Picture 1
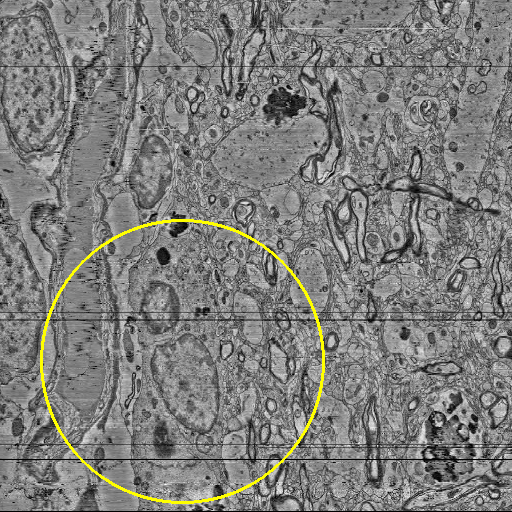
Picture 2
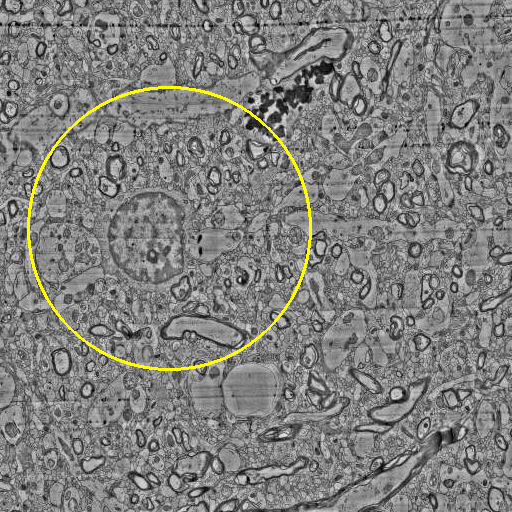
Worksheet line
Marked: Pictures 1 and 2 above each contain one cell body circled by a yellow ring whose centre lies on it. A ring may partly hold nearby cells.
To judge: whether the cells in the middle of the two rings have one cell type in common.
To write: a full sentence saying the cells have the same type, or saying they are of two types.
The cells in the middle of the rings in Picture 1 and Picture 2 have the same type.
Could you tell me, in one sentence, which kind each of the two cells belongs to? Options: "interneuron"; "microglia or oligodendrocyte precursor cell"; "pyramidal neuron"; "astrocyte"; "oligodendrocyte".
The first and the second cell are each an oligodendrocyte.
